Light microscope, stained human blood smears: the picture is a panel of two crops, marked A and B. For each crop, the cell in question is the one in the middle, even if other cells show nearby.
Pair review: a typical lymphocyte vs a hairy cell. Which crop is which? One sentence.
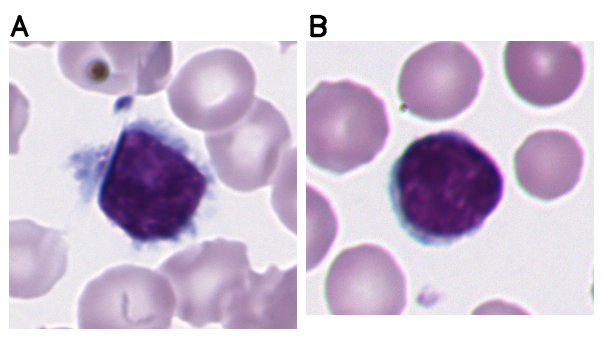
Crop A is labelled a hairy cell, and crop B is labelled a typical lymphocyte.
